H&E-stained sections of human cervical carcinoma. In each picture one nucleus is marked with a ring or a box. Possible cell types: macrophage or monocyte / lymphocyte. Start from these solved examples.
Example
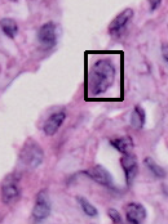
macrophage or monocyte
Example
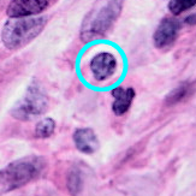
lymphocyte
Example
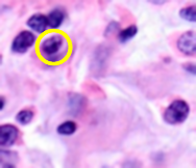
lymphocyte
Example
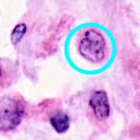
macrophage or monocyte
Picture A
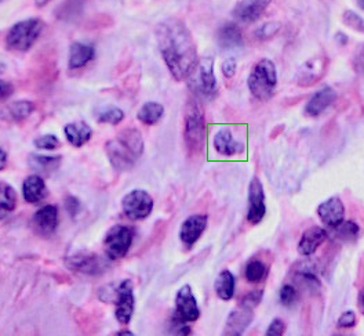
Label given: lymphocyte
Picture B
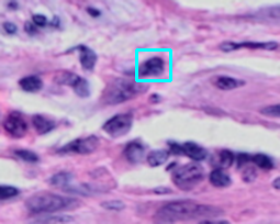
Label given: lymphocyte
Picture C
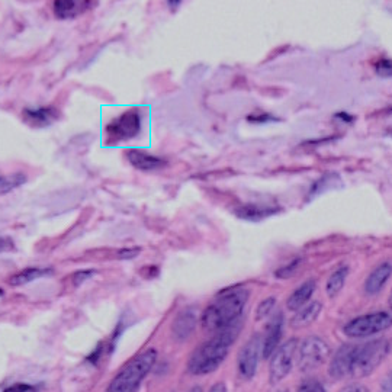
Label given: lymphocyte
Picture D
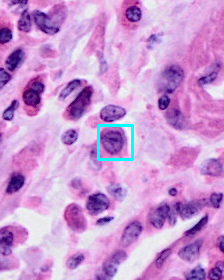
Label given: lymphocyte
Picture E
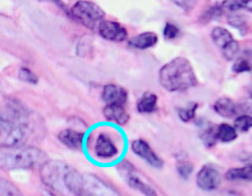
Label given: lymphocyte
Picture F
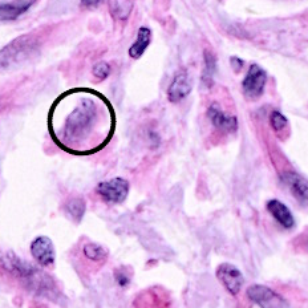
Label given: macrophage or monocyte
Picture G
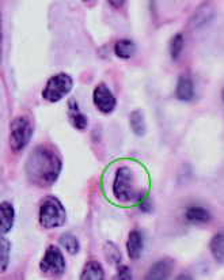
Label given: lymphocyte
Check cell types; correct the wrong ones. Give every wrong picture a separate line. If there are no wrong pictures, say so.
C: macrophage or monocyte, not lymphocyte
D: macrophage or monocyte, not lymphocyte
